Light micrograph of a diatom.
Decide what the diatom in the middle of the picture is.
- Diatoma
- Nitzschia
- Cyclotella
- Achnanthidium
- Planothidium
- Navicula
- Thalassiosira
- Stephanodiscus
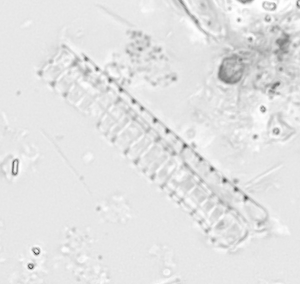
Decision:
Diatoma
